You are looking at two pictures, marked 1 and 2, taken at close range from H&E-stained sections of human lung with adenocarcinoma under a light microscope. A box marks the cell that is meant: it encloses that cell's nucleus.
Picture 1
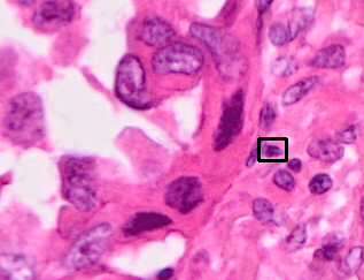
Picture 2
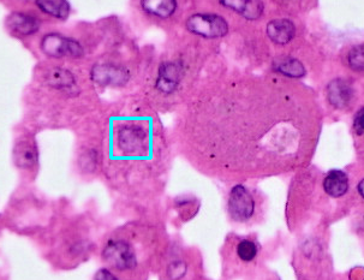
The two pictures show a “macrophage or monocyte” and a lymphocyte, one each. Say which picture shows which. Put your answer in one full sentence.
Picture 1 is of a lymphocyte, and picture 2 is of a “macrophage or monocyte”.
